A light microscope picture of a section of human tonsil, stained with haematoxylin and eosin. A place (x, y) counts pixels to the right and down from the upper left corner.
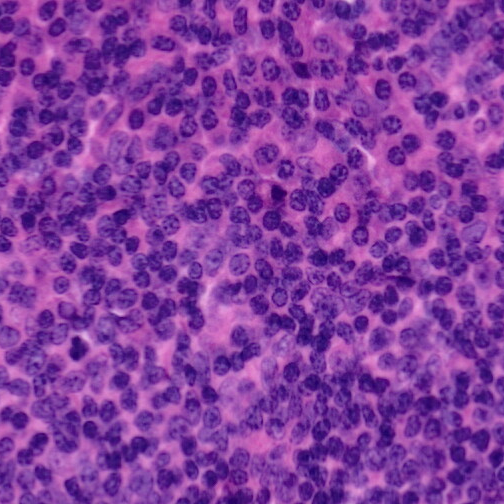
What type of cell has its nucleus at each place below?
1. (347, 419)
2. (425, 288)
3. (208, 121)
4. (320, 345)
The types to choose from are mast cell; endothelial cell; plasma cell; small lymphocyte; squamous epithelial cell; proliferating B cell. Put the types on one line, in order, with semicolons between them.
small lymphocyte; small lymphocyte; plasma cell; small lymphocyte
